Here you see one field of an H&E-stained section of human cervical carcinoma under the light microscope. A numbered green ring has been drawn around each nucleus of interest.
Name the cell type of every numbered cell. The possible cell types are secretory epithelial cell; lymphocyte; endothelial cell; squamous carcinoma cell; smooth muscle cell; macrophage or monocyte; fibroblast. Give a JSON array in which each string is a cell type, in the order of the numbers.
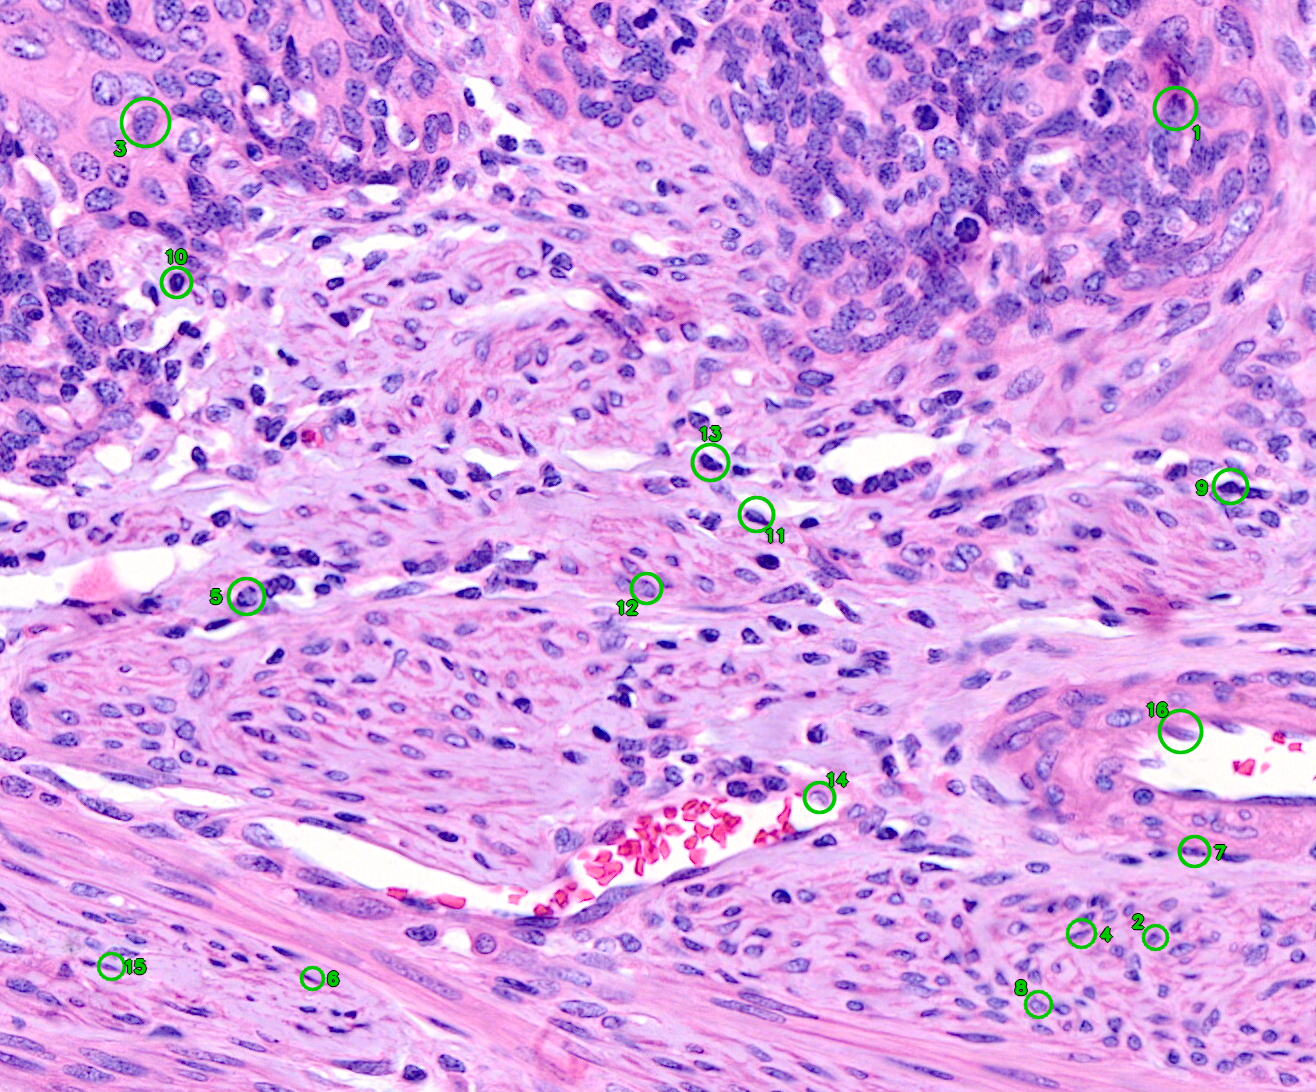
["squamous carcinoma cell", "smooth muscle cell", "squamous carcinoma cell", "smooth muscle cell", "lymphocyte", "smooth muscle cell", "smooth muscle cell", "smooth muscle cell", "lymphocyte", "lymphocyte", "lymphocyte", "smooth muscle cell", "lymphocyte", "endothelial cell", "fibroblast", "endothelial cell"]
